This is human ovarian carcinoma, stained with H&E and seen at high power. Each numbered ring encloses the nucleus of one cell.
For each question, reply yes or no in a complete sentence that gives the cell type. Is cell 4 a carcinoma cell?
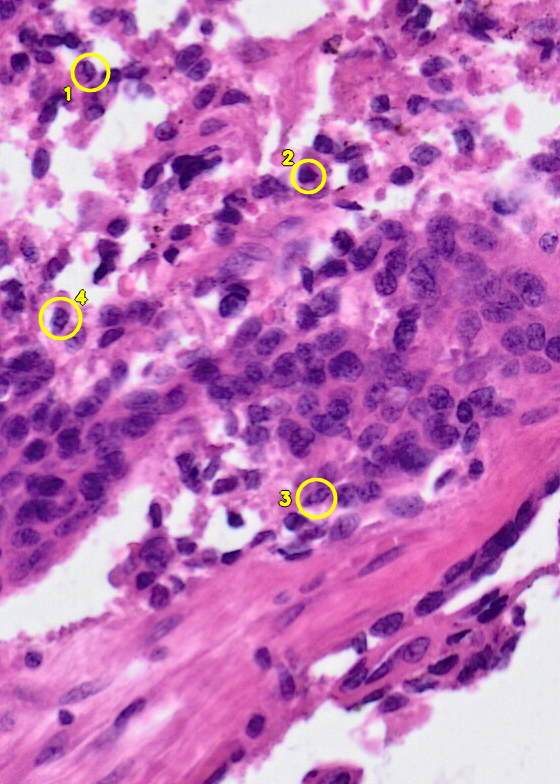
No, the cell at marker 4 is not a carcinoma cell; it is a macrophage or monocyte.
